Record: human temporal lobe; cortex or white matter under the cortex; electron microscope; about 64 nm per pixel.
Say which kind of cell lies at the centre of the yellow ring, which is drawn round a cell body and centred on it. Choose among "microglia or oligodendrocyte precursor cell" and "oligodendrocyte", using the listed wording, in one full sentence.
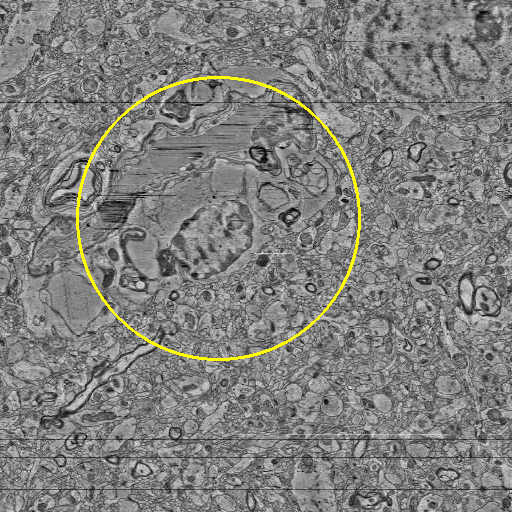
Going by the list, the cell at the yellow ring's centre is a microglial cell or oligodendrocyte precursor cell.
